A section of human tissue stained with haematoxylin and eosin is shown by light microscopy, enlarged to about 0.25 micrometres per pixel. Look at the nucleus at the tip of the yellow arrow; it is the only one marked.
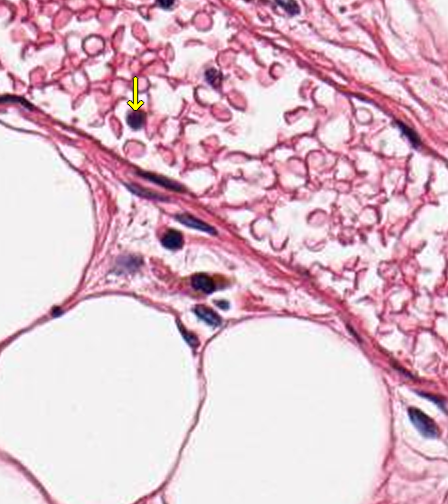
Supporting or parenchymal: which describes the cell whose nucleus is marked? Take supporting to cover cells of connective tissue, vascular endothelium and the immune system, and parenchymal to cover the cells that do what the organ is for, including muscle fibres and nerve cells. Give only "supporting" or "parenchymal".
supporting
